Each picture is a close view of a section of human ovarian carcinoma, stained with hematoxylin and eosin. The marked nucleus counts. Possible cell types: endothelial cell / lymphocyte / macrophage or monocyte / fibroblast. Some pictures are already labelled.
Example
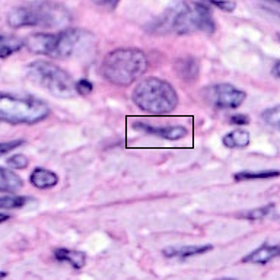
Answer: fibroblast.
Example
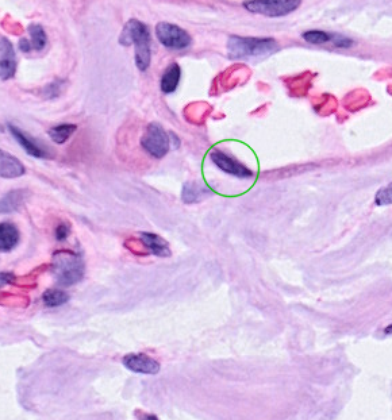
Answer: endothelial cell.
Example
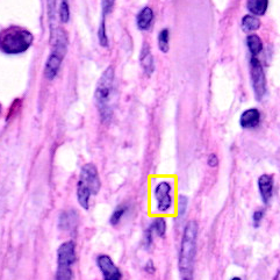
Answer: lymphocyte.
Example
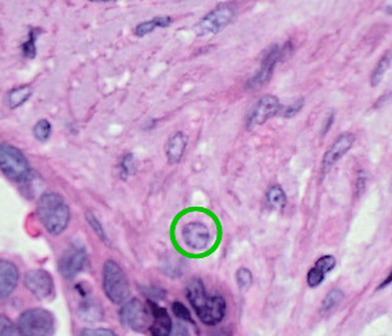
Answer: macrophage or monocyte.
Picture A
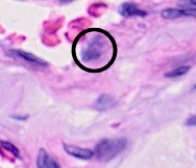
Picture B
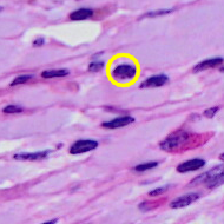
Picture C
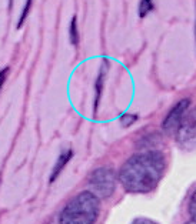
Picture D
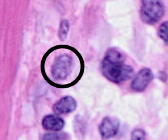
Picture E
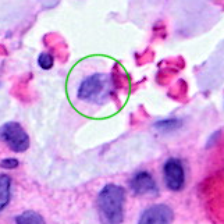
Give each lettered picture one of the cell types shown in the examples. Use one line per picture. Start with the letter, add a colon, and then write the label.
A: endothelial cell.
B: lymphocyte.
C: fibroblast.
D: macrophage or monocyte.
E: endothelial cell.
